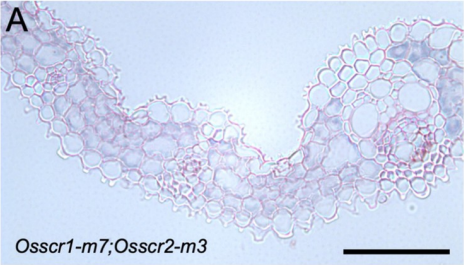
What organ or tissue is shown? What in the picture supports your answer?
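A thin, undulating lamina in cross section. A single epidermal layer bounds both surfaces. That points to this answer: leaves.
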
